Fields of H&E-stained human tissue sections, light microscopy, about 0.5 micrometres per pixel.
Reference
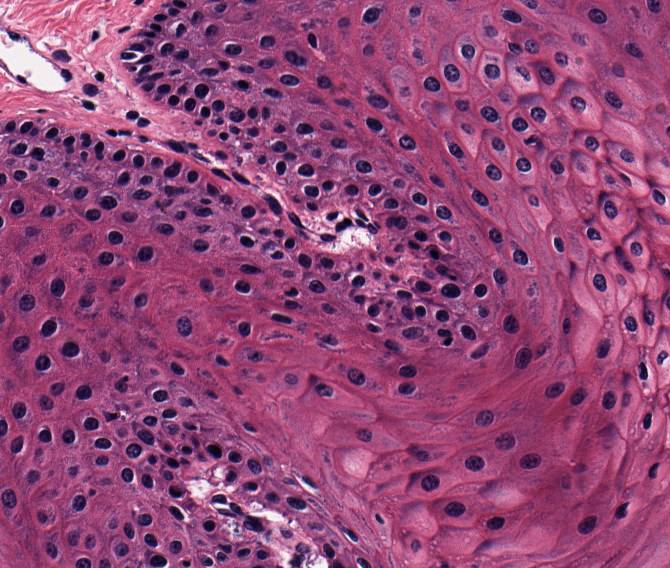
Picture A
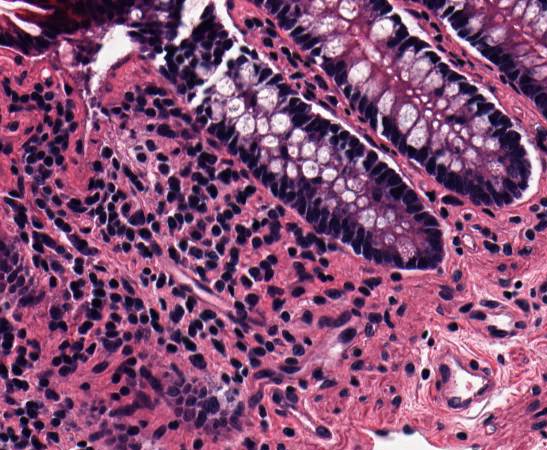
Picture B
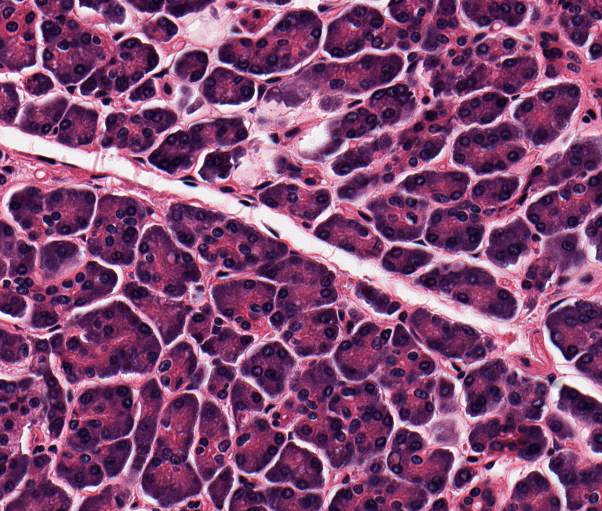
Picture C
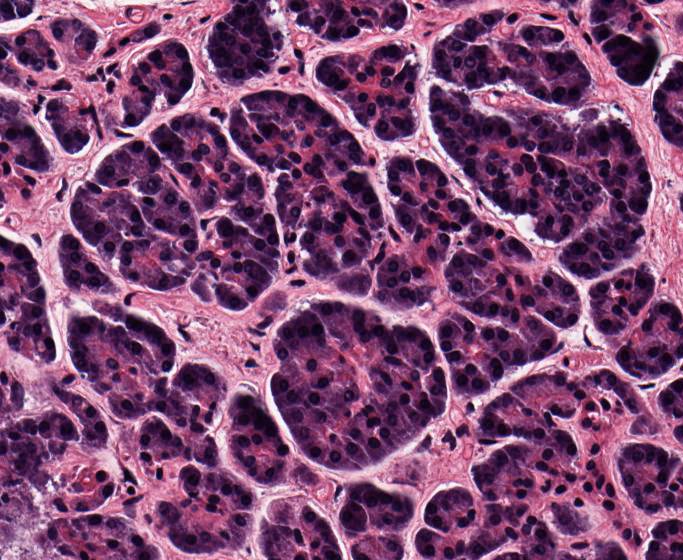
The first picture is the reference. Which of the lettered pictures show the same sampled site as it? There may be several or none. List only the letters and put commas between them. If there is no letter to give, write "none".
none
